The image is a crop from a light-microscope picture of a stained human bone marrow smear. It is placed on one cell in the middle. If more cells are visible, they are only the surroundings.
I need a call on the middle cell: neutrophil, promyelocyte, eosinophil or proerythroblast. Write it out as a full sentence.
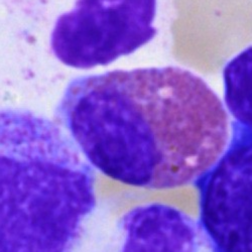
The centrally placed cell is classified as an eosinophil.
